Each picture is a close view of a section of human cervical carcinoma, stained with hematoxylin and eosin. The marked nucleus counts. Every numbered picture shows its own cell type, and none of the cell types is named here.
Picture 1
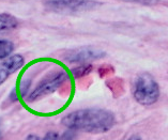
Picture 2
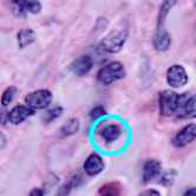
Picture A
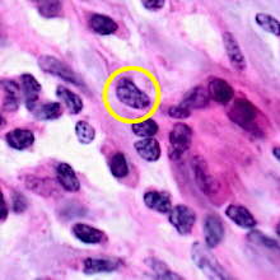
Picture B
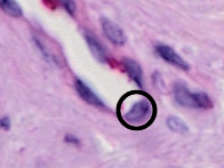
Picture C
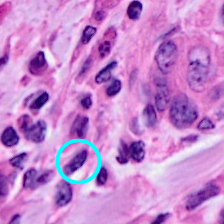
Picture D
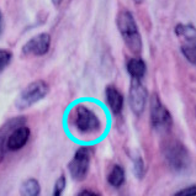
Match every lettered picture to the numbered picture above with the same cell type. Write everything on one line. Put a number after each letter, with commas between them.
A 2, B 1, C 2, D 2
